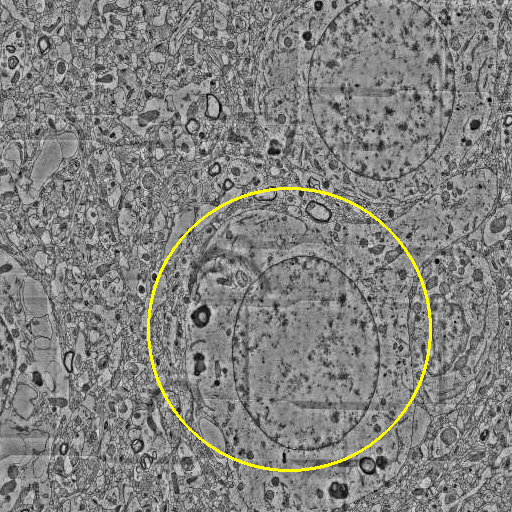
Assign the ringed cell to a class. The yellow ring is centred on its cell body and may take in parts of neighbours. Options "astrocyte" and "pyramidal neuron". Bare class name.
pyramidal neuron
